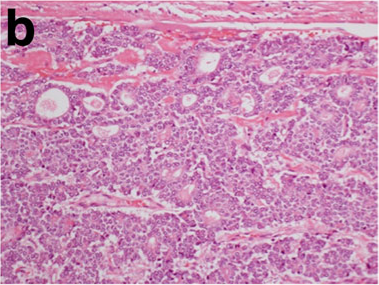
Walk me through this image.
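This is a tumor made of closely packed epithelial cells arranged partly in small acini and partly in solid sheets. The acini are small round spaces lined by cuboidal cells and holding pale pink material. The cells have round, fairly uniform purple nuclei and modest amounts of pink cytoplasm. Thin strands of pink fibrous stroma run between groups of cells, and a band of fibrous tissue lies along the upper edge.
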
